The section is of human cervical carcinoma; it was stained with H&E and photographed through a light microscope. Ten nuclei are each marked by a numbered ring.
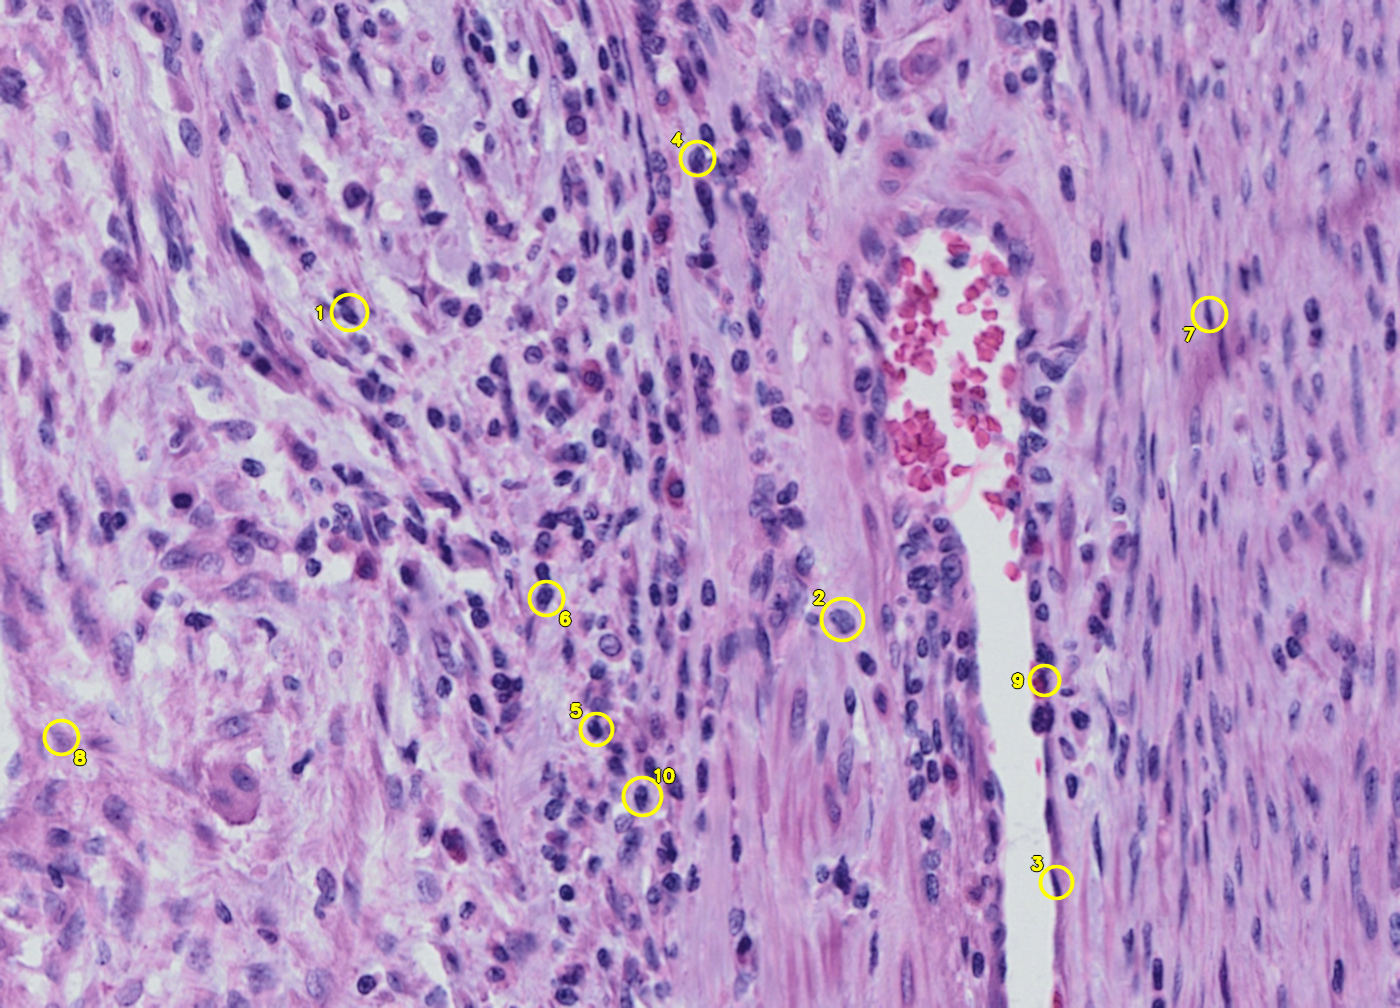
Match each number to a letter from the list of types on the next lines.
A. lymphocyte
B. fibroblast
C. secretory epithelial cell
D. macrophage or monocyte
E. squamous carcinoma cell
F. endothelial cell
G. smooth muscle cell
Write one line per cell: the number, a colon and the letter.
1: A
2: A
3: F
4: A
5: A
6: A
7: B
8: B
9: F
10: A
